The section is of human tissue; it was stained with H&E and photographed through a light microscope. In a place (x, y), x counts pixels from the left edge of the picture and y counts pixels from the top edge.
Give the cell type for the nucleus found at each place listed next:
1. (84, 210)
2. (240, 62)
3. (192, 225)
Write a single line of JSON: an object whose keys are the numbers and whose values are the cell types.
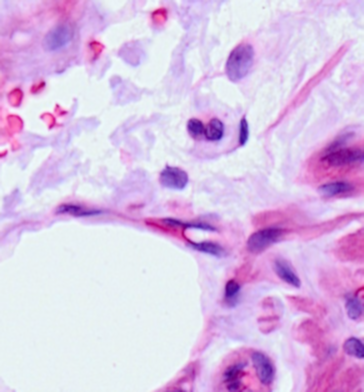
{"1": "endothelial cell", "2": "fibroblast", "3": "endothelial cell"}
